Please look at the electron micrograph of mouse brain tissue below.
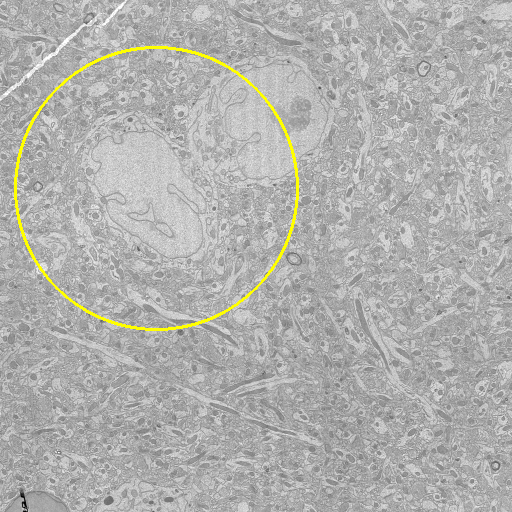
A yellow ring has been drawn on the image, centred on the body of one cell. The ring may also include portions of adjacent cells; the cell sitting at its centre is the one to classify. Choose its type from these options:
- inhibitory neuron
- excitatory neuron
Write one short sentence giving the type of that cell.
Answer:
The cell in the middle of the ring is an inhibitory neuron.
